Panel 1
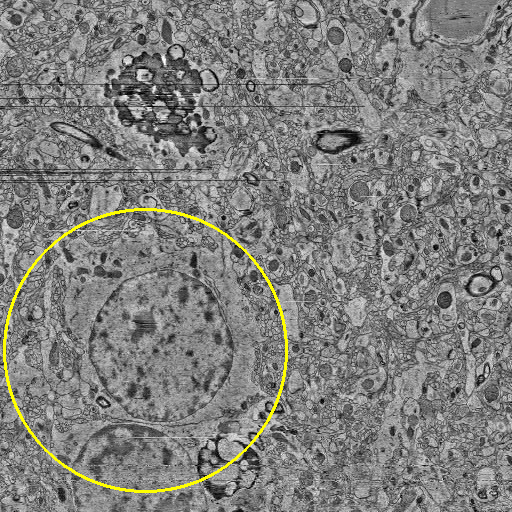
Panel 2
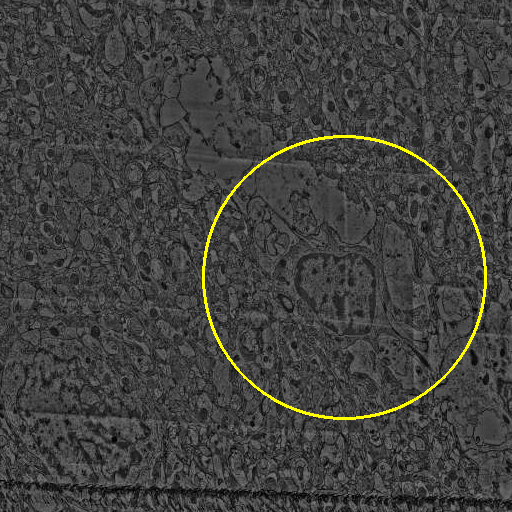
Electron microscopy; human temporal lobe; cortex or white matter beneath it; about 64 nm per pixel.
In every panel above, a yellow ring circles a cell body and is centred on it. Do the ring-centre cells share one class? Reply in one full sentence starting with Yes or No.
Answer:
No, the two cells at the ring centres in the panels belong to two classes.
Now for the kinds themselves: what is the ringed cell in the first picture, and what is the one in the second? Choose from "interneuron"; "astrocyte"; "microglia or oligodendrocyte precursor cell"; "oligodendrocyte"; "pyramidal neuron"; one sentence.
Here the first cell is an astrocyte and the second cell is a microglial cell or oligodendrocyte precursor cell.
